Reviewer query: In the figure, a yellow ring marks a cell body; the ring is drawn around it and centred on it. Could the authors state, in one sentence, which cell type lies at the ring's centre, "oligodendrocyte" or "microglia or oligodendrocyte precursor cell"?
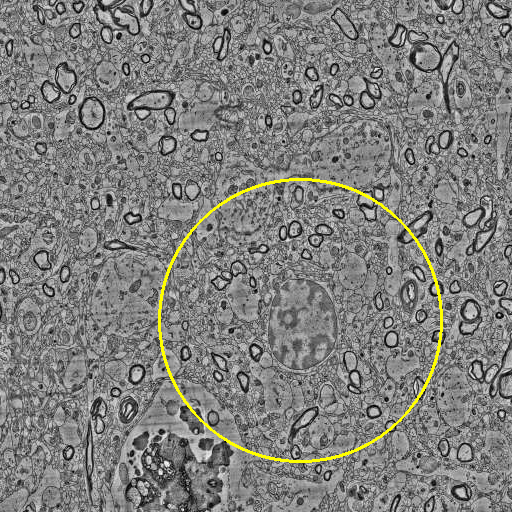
The ring is centred on a microglial cell or oligodendrocyte precursor cell.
